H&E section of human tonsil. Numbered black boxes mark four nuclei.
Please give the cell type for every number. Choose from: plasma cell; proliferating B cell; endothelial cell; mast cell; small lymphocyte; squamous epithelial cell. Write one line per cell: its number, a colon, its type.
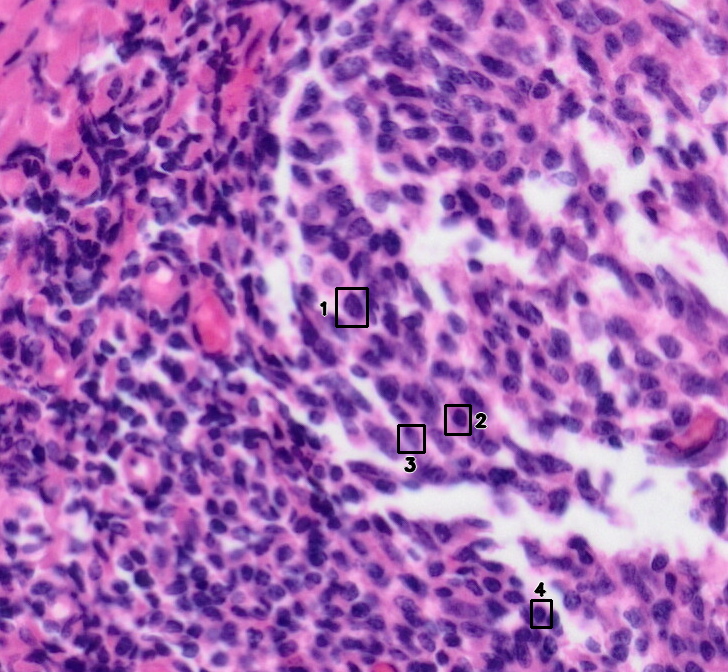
1: proliferating B cell
2: proliferating B cell
3: proliferating B cell
4: small lymphocyte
